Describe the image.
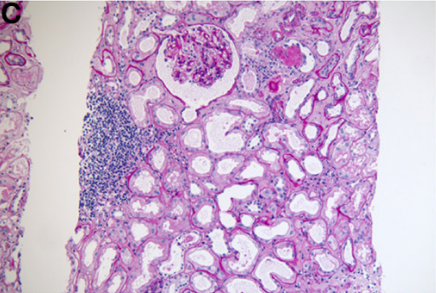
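This is renal cortex with tubules, a glomerulus and a focal interstitial infiltrate of lymphocytes. On the left a dense cluster of small cells with round dark purple nuclei fills the interstitium between tubules. Around it, tubules with pink basement membranes and open, somewhat dilated lumina are lined by flattened epithelium. A glomerulus with a capillary tuft inside its Bowman capsule lies at the top. Elsewhere the interstitium is sparse, so the infiltrate stands out as a discrete focus rather than a diffuse spread.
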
